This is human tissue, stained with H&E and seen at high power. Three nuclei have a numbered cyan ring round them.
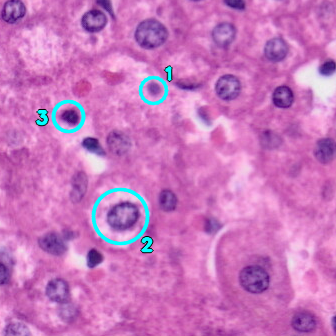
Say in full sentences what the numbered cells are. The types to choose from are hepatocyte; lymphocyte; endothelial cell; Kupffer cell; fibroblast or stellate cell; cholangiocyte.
Cells 1 and 3 are lymphocytes. Cell 2 is a hepatocyte.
